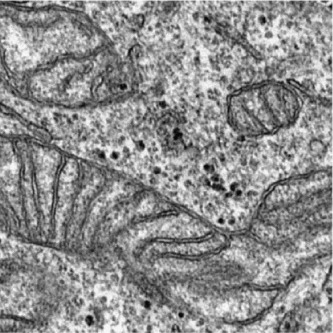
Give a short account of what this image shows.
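This electron micrograph shows mitochondria lying in the cytoplasm, with their double outer boundary and regular transverse cristae running across the interior. The surrounding cytoplasm is granular, with scattered dark particles, and the mitochondrial surfaces are not lined by small vesicles.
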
